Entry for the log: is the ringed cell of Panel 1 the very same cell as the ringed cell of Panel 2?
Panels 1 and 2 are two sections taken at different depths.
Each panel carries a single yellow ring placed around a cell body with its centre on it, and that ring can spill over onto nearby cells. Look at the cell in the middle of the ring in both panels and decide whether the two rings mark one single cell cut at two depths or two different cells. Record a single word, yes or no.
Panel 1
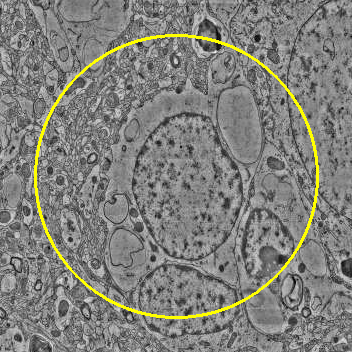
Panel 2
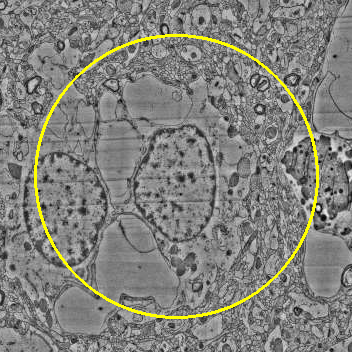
no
